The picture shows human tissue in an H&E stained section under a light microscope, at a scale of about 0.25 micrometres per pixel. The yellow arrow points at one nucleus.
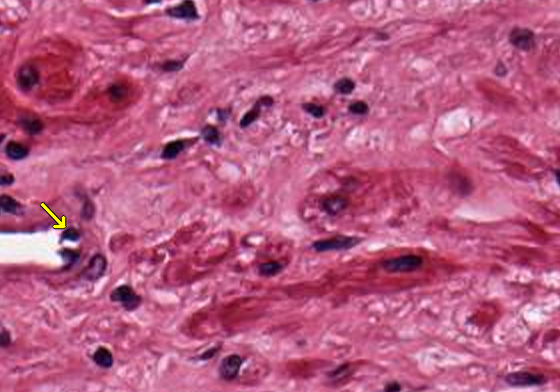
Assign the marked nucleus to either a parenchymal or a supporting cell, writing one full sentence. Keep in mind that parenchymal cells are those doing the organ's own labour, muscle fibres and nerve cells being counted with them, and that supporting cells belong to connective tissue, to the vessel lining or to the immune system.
It is a supporting cell to which the marked nucleus belongs.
